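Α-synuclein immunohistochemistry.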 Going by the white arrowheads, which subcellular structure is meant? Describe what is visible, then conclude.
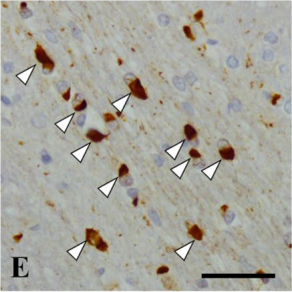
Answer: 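Brown-stained, crescent or flame-shaped bodies sit beside small round blue nuclei. The bodies lie among parallel fibres. So: Glial cytoplasmic inclusions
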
